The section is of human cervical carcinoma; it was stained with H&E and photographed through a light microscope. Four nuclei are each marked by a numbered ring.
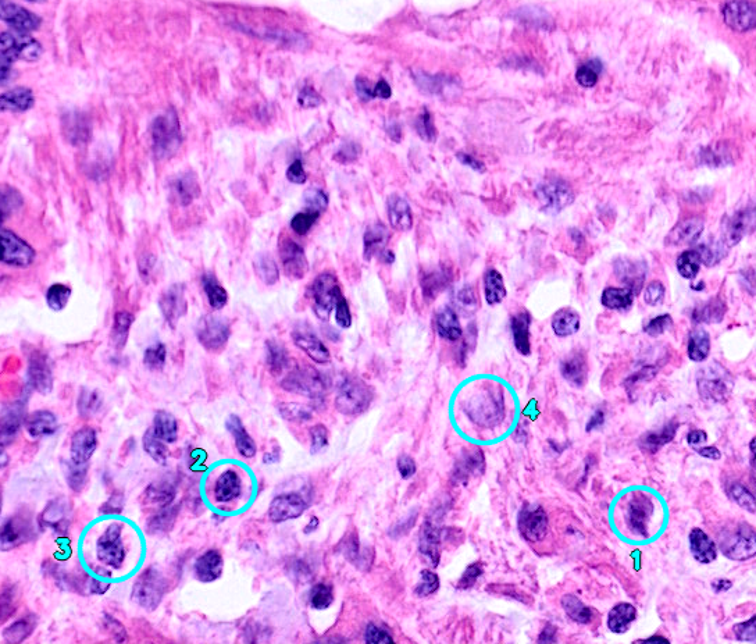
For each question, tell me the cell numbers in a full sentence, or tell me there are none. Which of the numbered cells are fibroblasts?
The cells carrying labels 1 and 4 are fibroblasts.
